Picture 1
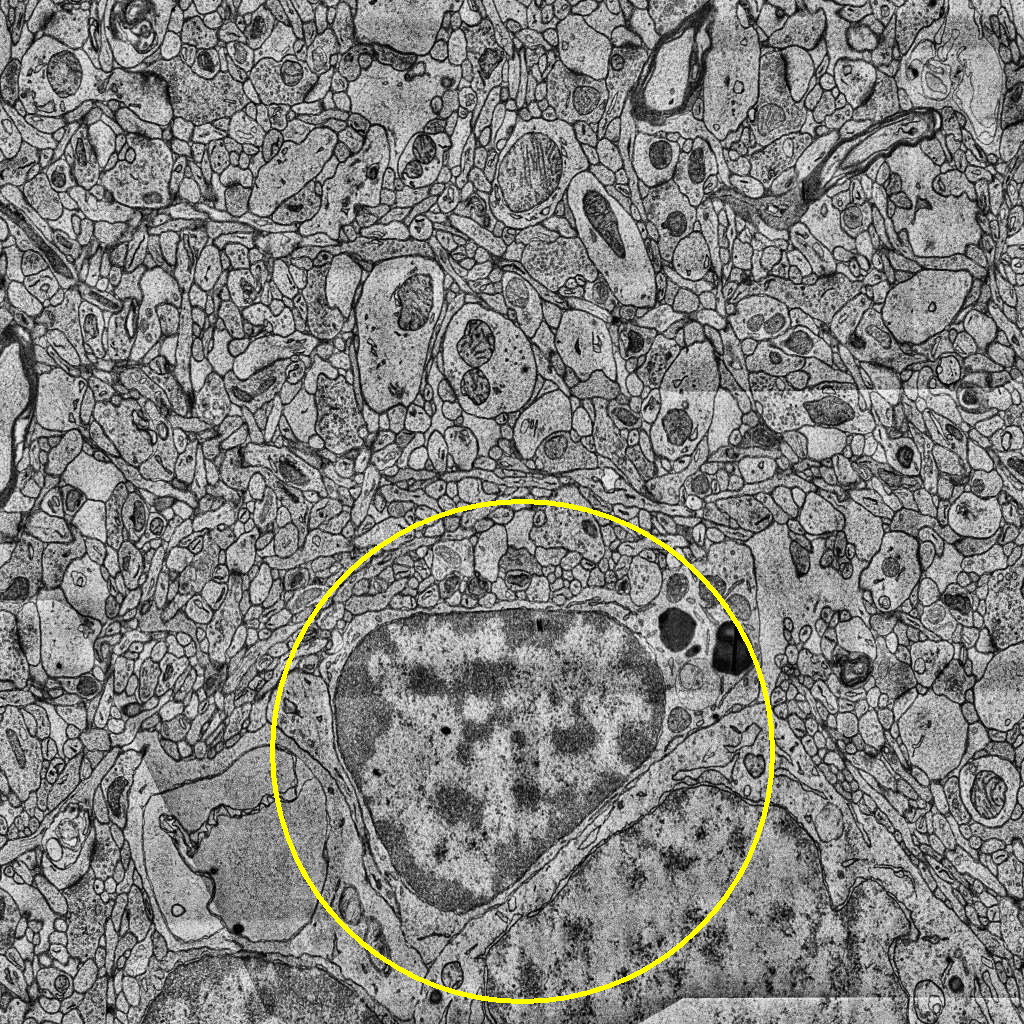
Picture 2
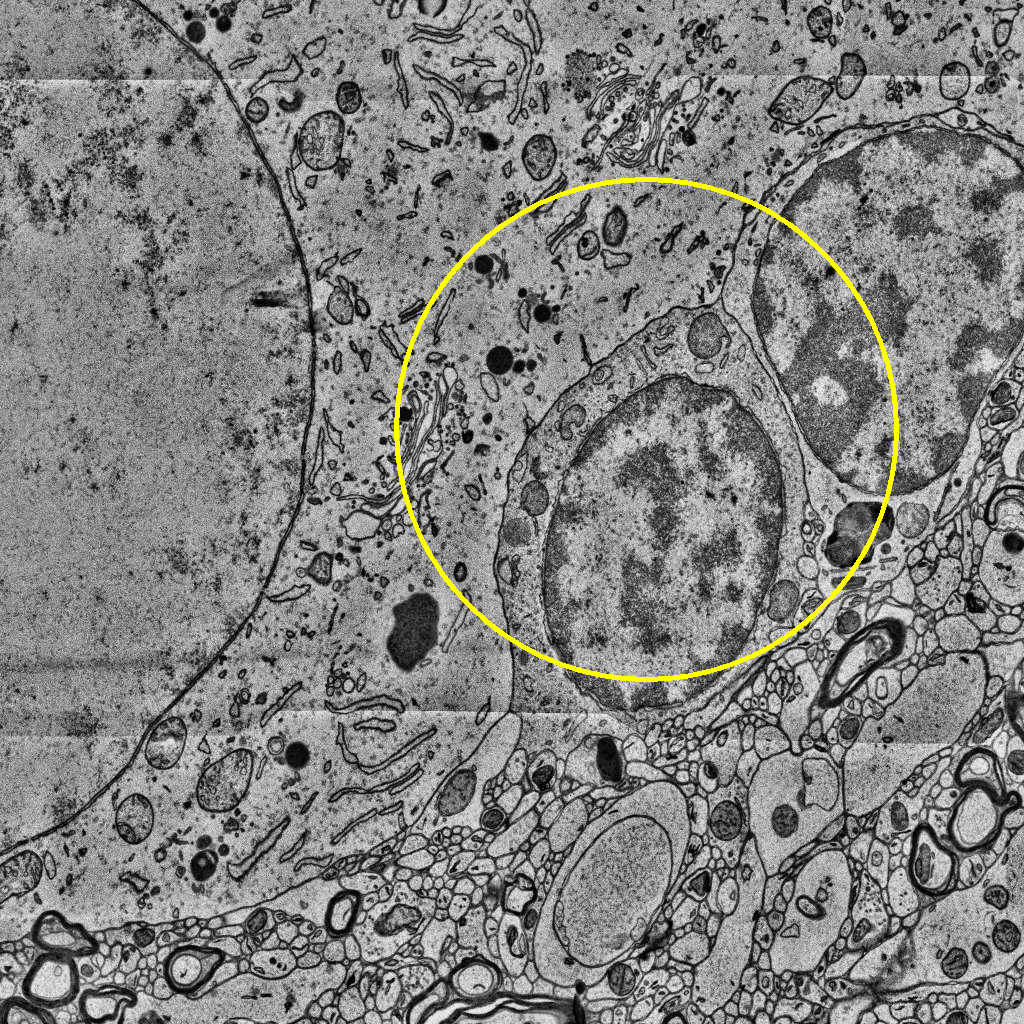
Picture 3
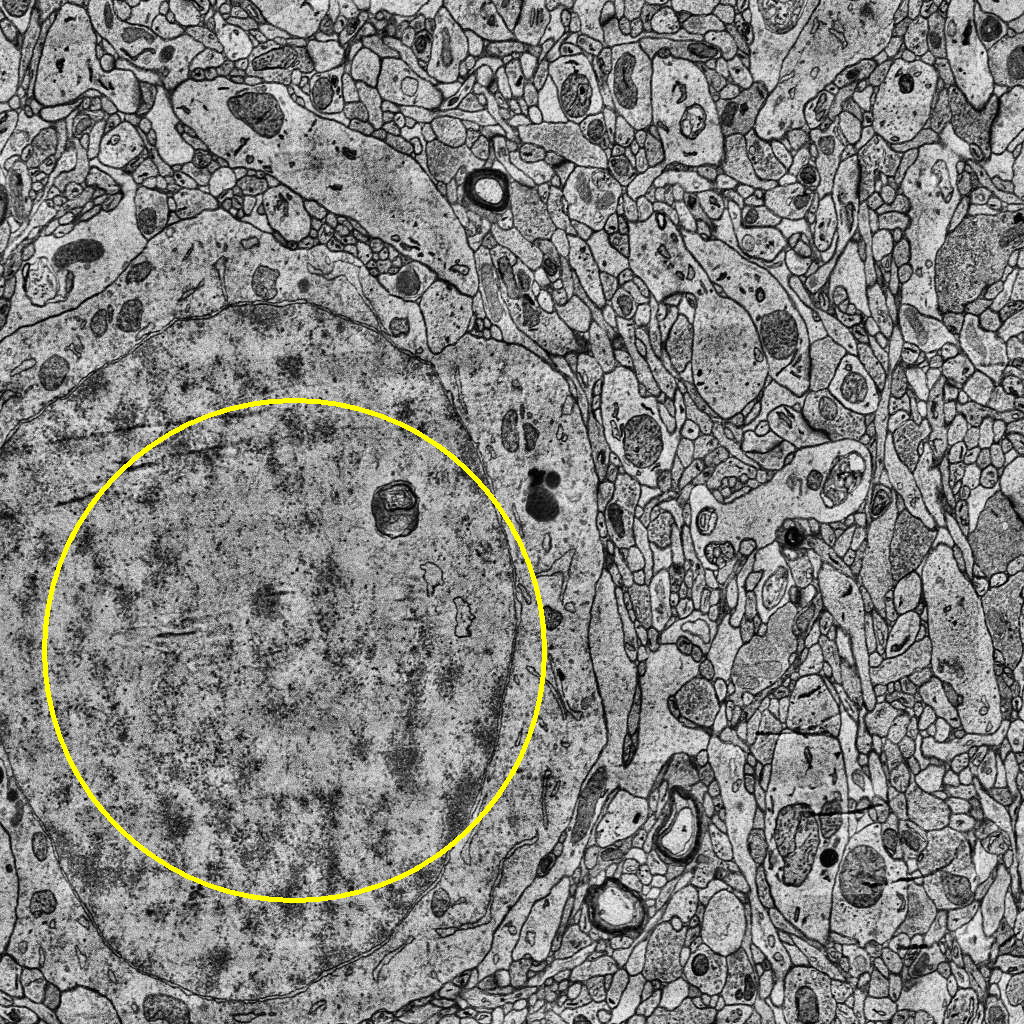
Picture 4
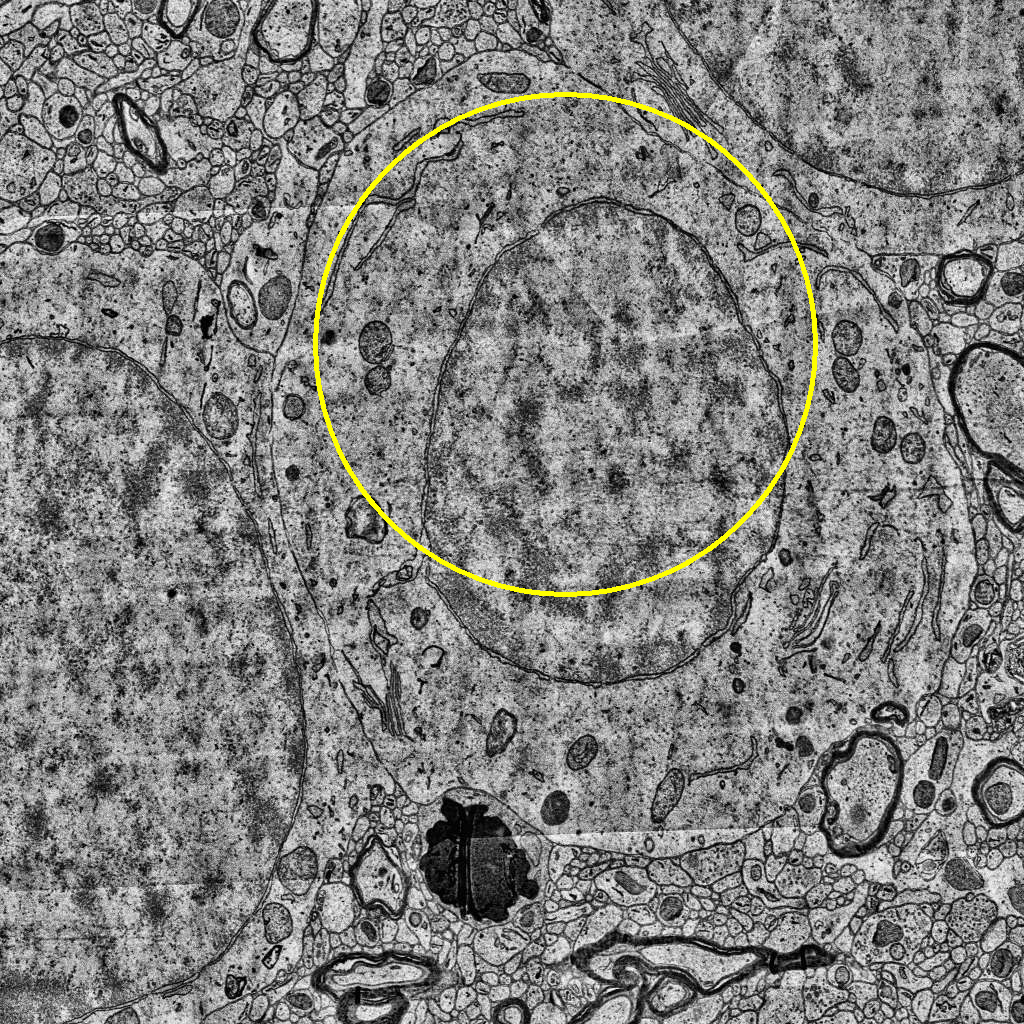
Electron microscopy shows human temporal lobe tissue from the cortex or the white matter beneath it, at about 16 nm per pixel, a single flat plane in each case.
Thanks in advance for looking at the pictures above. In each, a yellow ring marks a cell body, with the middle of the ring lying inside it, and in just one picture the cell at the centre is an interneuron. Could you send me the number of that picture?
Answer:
3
